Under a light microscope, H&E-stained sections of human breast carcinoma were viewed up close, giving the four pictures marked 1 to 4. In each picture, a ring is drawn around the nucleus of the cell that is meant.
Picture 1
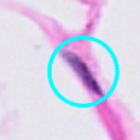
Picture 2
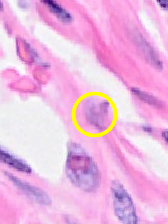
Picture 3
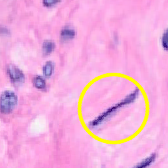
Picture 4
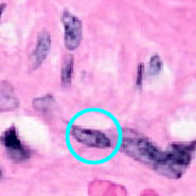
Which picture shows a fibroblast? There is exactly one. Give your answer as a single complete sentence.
Picture 3 is the one that shows the fibroblast.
